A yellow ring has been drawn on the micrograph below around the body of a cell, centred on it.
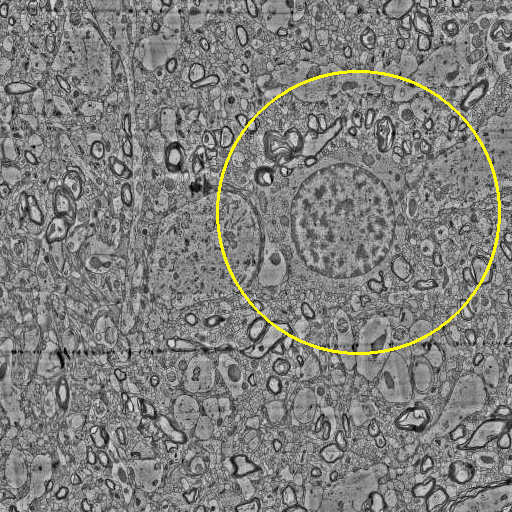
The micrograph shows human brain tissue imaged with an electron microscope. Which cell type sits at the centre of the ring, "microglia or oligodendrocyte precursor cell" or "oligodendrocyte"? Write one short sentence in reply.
The cell sitting at the centre of the ring is an oligodendrocyte.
